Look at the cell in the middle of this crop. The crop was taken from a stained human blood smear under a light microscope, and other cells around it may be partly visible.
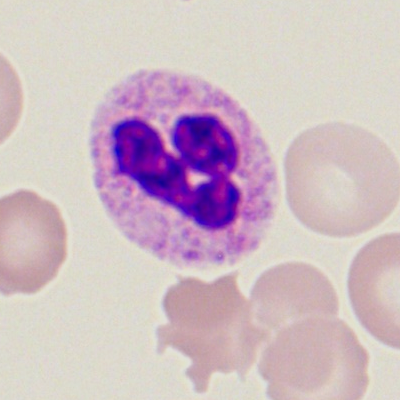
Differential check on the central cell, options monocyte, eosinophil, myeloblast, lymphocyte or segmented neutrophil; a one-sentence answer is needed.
The cell at the heart of this crop is a segmented neutrophil.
